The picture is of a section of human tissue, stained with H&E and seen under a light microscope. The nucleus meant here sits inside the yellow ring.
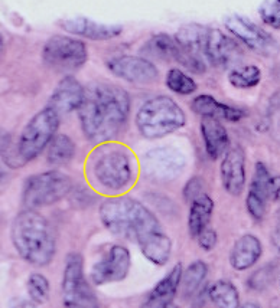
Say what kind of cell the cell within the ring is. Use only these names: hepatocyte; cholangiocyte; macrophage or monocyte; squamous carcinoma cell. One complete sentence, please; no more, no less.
The expected answer is simply that the cell within the ring is a squamous carcinoma cell.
